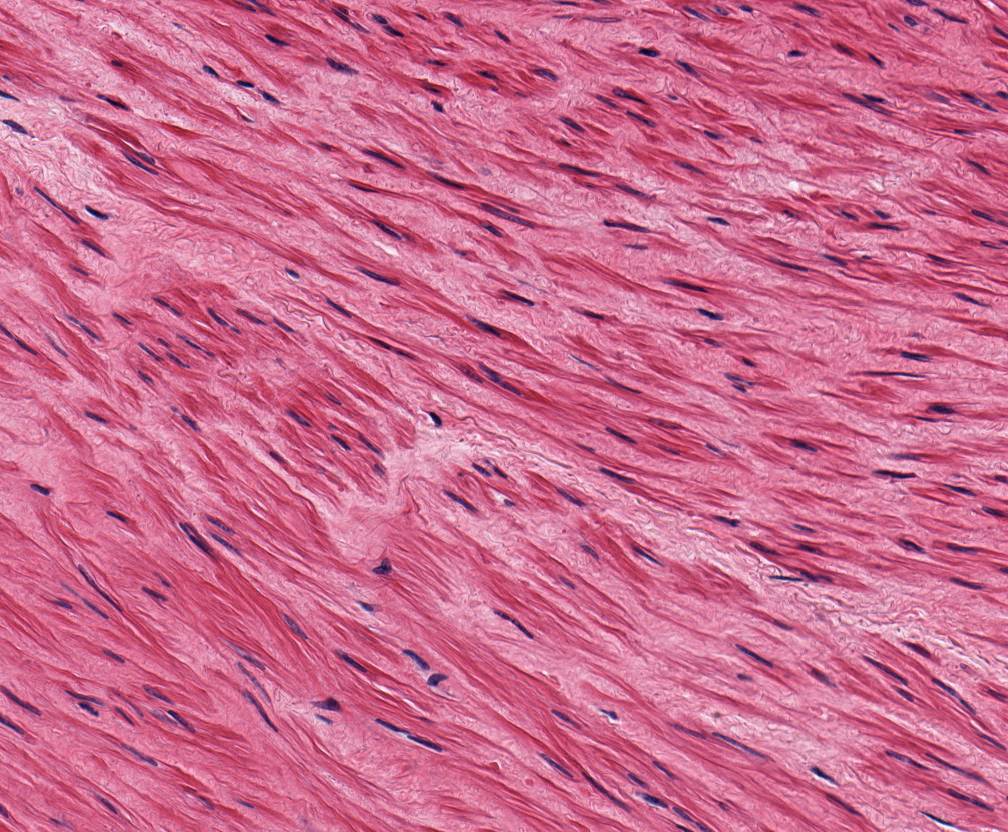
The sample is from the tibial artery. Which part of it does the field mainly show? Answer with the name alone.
tunica media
